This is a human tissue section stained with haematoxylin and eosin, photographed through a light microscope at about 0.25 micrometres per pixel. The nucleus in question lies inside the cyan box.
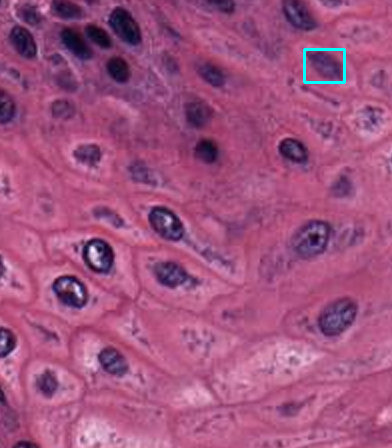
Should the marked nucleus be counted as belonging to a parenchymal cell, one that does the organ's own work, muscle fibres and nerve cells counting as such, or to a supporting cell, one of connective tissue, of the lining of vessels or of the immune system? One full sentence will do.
The marked nucleus is attributed to a parenchymal cell, namely a squamous epithelial cell.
